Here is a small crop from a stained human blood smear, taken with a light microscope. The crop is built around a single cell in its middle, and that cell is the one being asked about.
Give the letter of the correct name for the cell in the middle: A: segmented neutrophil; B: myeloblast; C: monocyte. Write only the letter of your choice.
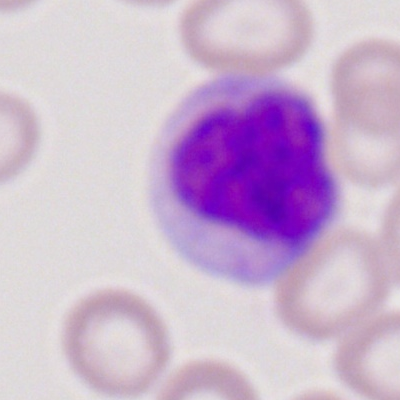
C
